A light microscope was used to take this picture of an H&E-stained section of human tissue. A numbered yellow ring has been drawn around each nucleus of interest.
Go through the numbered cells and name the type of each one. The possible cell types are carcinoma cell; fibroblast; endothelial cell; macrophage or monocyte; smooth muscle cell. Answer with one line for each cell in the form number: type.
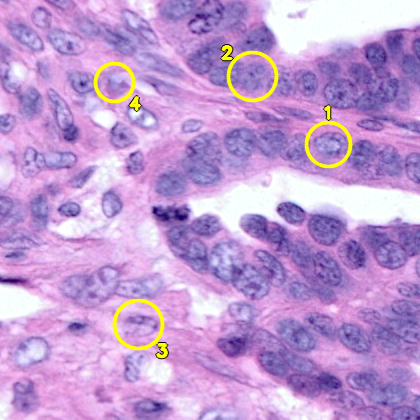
1: carcinoma cell
2: carcinoma cell
3: fibroblast
4: fibroblast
